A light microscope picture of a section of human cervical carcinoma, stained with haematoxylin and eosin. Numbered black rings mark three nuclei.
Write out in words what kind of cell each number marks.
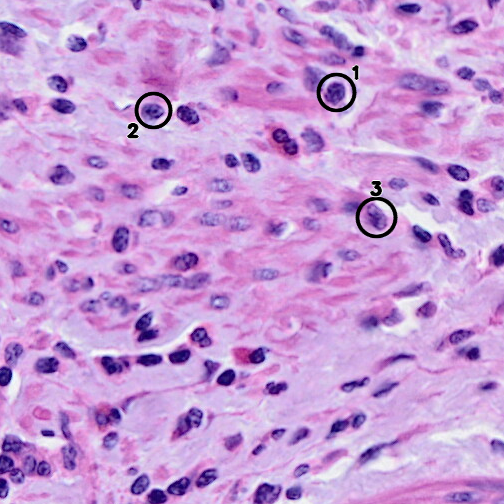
Cell 1 is a lymphocyte, cell 2 is a lymphocyte and cell 3 is a macrophage or monocyte.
